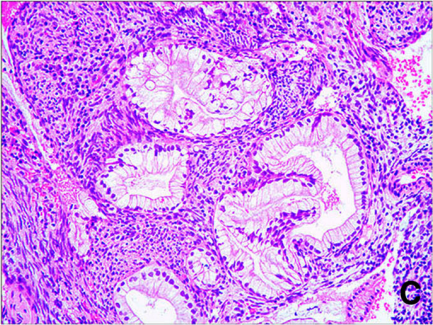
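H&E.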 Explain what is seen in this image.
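Irregular neoplastic glands lie within a cellular, spindle-cell stroma. The glands are lined by tall cells with abundant, pale, clear to foamy cytoplasm and sharply drawn cell borders. Their nuclei are small, dark and placed toward the base of the cells, while the lumens are open and partly filled with pale material.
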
